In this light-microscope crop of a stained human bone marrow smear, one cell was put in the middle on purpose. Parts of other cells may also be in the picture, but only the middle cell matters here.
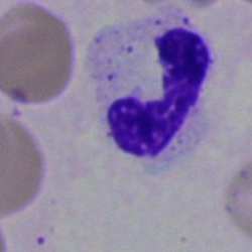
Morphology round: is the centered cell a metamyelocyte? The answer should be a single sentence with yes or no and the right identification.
No, the cell in the middle is a band neutrophil; it is not a metamyelocyte.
